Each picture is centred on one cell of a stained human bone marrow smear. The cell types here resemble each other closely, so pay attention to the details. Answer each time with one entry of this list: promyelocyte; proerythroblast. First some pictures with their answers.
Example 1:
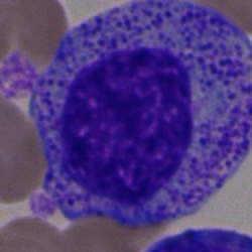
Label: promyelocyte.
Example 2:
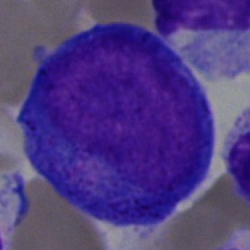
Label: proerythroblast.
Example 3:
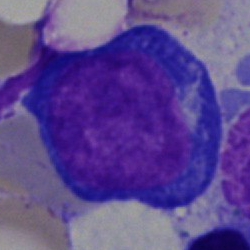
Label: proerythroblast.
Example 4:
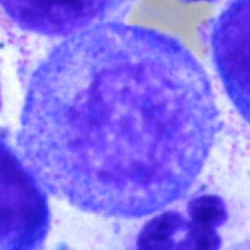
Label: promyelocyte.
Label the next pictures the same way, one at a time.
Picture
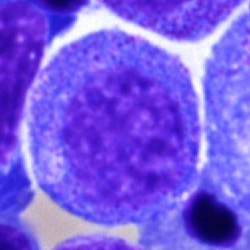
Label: promyelocyte.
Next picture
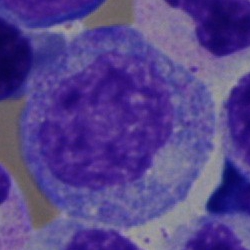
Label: promyelocyte.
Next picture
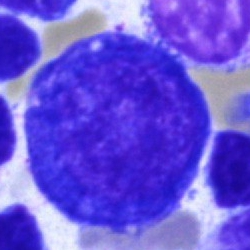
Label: proerythroblast.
